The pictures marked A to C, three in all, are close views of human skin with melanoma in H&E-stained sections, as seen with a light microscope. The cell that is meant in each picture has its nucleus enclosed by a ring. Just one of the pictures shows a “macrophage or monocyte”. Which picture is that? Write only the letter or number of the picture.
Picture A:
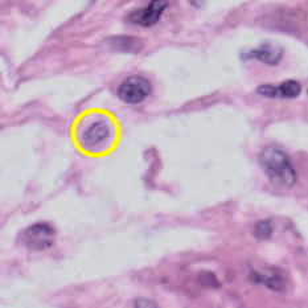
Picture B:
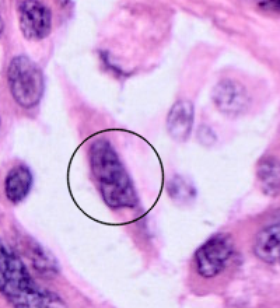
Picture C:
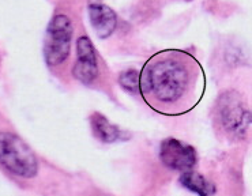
A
